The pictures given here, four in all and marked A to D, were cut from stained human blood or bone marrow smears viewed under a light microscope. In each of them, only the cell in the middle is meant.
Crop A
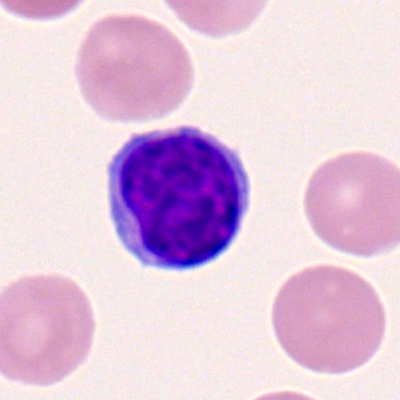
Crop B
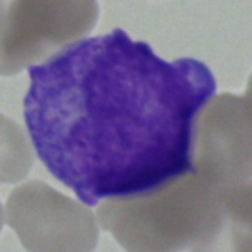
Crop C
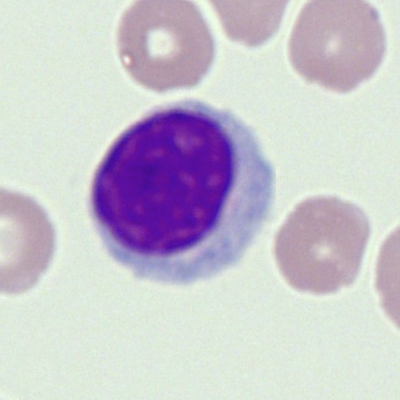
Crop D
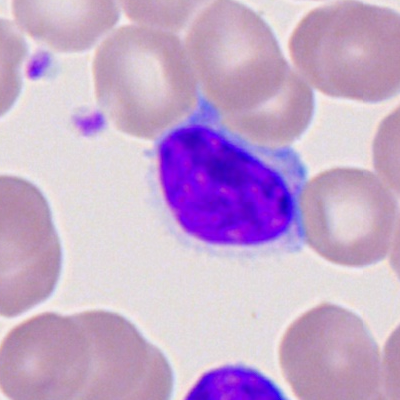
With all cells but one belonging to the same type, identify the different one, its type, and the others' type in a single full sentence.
Crop B is the odd one out, being a blast, while all the other crops show lymphocytes.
